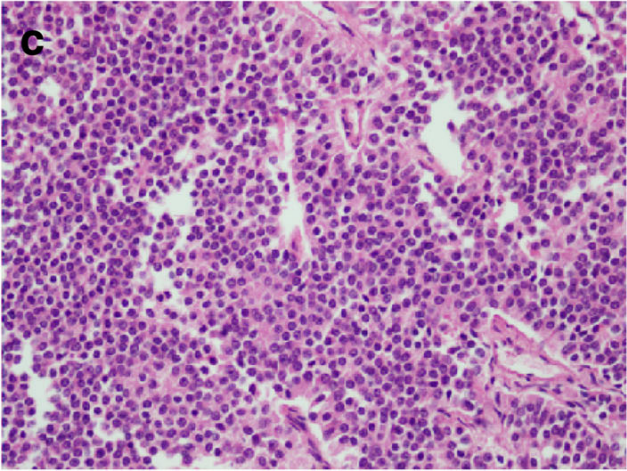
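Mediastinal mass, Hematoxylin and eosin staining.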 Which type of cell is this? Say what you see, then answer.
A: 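Neoplastic cells. Densely packed uniform round cells with round dark nuclei. Cells form broad sheets and nests.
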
